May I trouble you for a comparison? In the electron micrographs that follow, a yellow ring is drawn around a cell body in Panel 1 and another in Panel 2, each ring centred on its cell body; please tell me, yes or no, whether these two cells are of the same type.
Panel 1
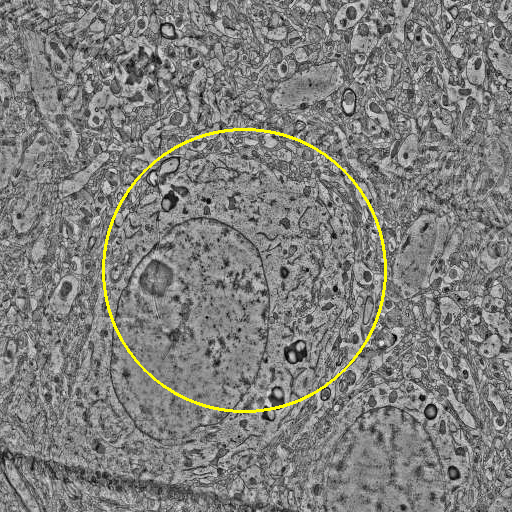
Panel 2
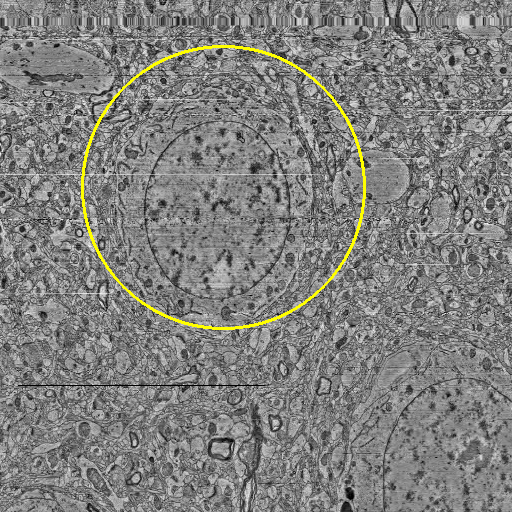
yes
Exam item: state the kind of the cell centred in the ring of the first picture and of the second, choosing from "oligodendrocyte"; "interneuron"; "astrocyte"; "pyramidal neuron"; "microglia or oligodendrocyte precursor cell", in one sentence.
The second cell is a pyramidal neuron, just as the first is.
